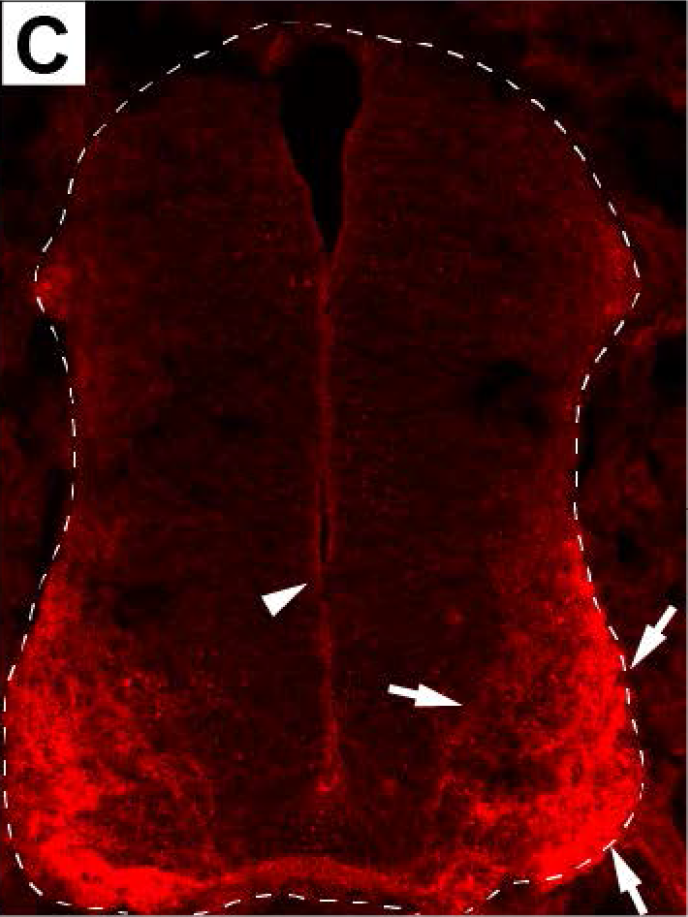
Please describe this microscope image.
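Cross-section of the neural tube, outlined by a dashed line, with a broad dorsal lumen narrowing to a thin slit ventrally. A faint red line lines the lumen, while an intense red band follows the ventral and ventrolateral margins and crosses below the midline, where the commissural axons run.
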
